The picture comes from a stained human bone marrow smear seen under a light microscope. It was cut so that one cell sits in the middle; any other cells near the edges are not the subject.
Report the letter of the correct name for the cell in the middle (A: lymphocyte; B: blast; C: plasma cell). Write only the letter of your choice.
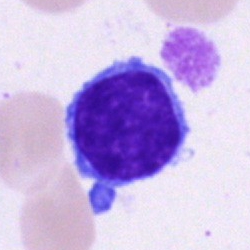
A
